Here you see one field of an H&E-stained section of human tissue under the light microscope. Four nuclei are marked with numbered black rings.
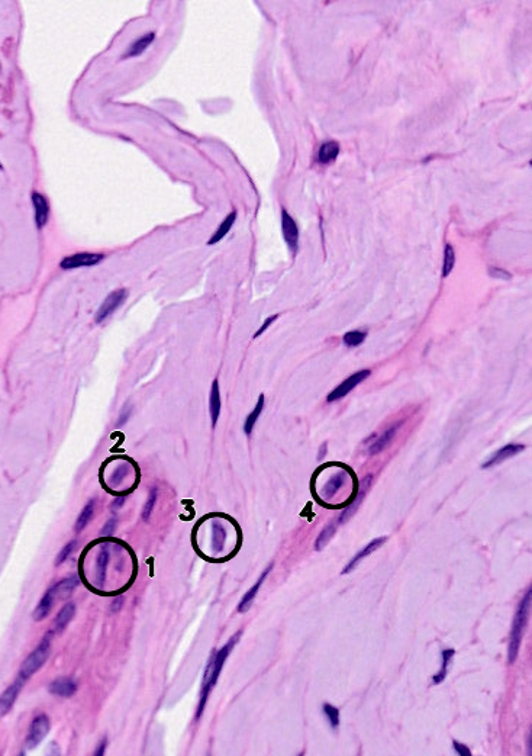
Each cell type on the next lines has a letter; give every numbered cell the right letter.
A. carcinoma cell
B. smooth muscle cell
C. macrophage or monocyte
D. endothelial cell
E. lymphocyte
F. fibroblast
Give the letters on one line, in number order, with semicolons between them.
B; B; F; B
